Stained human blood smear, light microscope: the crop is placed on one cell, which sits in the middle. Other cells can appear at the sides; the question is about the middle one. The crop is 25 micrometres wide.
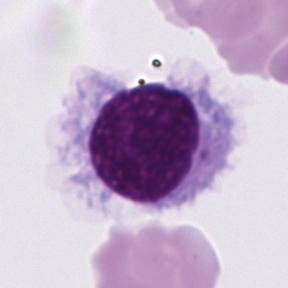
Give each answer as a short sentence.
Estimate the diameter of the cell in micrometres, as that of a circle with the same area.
The diameter of the cell comes to about 13 micrometres.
